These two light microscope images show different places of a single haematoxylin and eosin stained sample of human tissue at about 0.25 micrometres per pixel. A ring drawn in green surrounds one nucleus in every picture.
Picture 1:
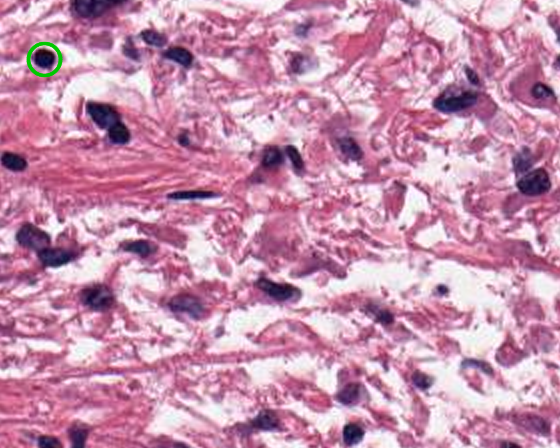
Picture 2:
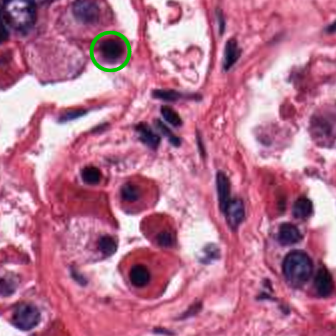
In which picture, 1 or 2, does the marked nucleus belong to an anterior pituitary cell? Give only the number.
2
